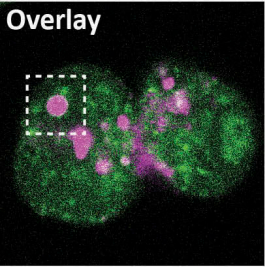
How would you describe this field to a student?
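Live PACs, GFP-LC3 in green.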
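Two rounded cells lie pressed together as a doublet. Their cytoplasm shows diffuse green fluorescence with scattered small bright green dots and a few faint ring-shaped outlines. Numerous round magenta bodies of varied size are present, most of them clustered in the region where the two cells meet, with fewer toward the outer edges. The largest are several times the size of the green dots.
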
